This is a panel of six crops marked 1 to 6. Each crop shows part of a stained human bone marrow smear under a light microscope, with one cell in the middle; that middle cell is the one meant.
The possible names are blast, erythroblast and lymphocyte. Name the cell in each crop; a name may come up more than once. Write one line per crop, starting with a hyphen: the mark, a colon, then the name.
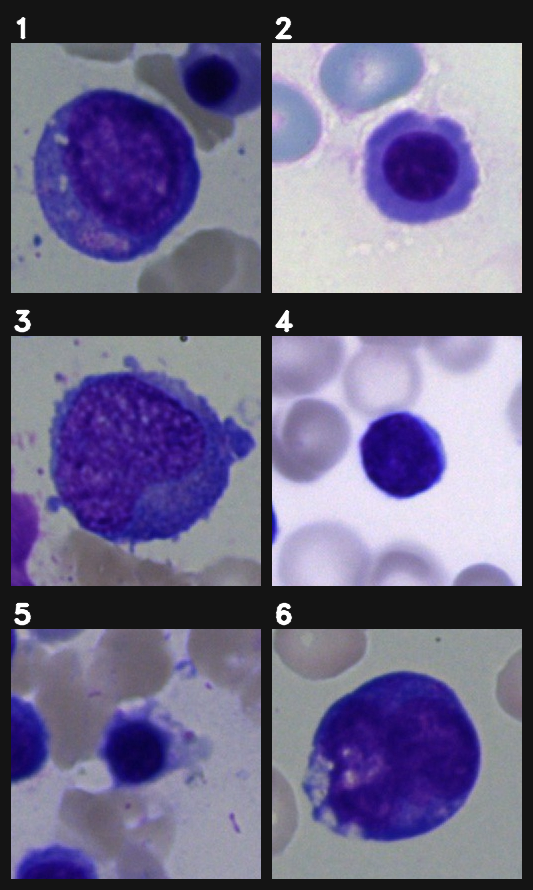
- 1: blast
- 2: erythroblast
- 3: blast
- 4: lymphocyte
- 5: erythroblast
- 6: blast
